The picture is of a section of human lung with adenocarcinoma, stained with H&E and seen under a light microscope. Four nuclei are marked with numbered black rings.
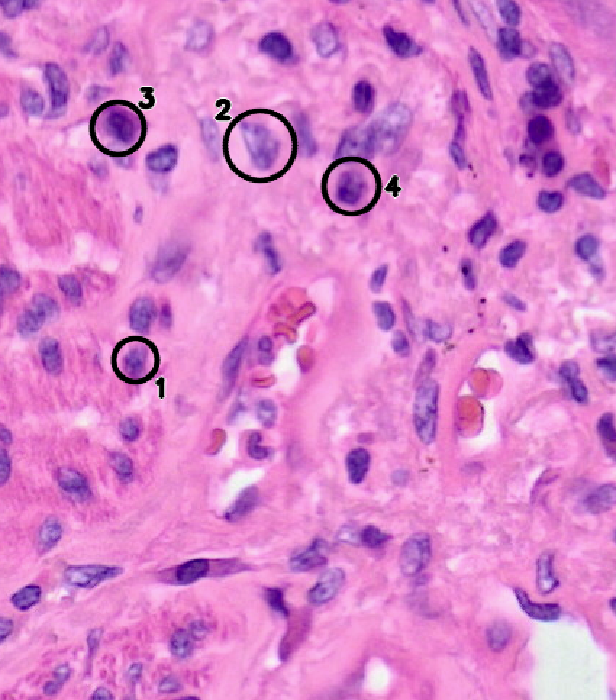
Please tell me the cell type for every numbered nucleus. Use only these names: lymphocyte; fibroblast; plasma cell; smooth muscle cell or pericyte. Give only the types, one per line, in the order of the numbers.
smooth muscle cell or pericyte
fibroblast
plasma cell
plasma cell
